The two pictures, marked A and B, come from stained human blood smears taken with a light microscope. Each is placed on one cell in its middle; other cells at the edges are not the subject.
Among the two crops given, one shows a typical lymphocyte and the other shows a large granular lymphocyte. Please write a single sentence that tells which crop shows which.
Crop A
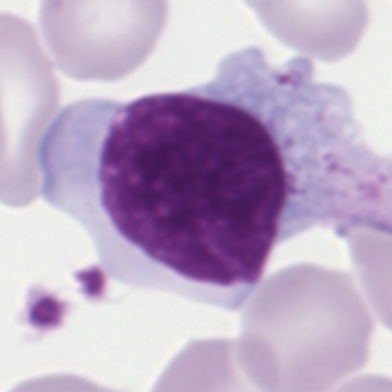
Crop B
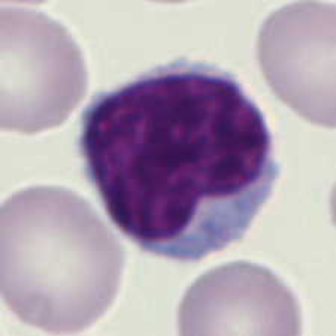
The centred cell is a large granular lymphocyte in crop A and a typical lymphocyte in crop B.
